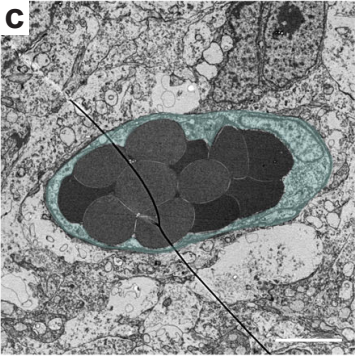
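The erythrocytes are dark, homogeneous, anucleate oval and discoid profiles that press against one another. The vessel wall, shaded cyan, forms a thin continuous rim around the packed red cells. Around the vessel lies tissue with pale, vacuolated profiles, and a nucleated cell is visible at the upper right. A thin dark line crosses the image obliquely.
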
